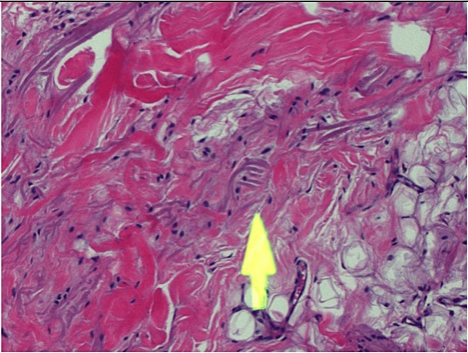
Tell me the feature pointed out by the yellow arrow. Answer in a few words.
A: Dystrophic elastic fibers.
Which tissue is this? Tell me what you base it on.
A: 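Thick, wavy, bright pink collagen bundles fill much of the field. Scattered small, slender, uniform nuclei lie between the bundles. Clear, empty, polygonal fat cells with thin membranes sit at the lower right. That points to this answer: dense collagenous stroma, bland fibroblasts, and mature adipose tissue.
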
